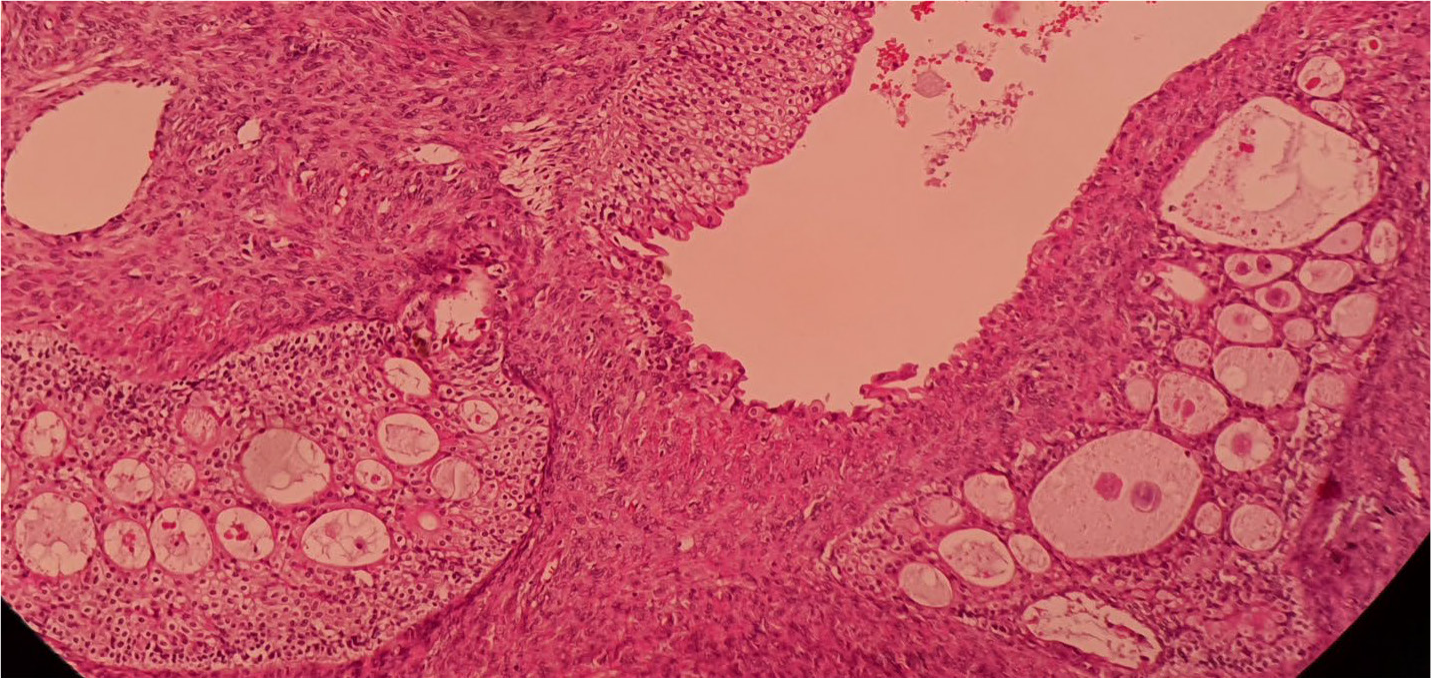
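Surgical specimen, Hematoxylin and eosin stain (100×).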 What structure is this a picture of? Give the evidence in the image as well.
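Nests composed of transitional‐type epithelium. Two large, well-demarcated rounded clusters of epithelial cells, at lower left and at right. The clusters are set within a denser, pink stroma of spindle-shaped cells. The cells in the clusters have oval nuclei and pale cytoplasm and are packed in several layers.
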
